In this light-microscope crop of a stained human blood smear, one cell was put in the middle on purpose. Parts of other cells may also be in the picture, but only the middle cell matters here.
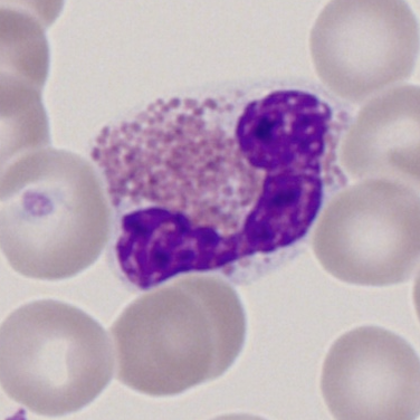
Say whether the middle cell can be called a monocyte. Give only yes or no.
no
